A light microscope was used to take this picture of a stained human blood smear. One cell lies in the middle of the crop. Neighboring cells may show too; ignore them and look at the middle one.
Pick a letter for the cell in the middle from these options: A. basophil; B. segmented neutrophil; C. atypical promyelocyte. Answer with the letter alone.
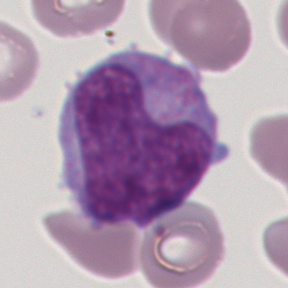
C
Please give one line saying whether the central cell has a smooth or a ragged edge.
Seen at its edge, the cell is not smooth but ragged or projecting.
